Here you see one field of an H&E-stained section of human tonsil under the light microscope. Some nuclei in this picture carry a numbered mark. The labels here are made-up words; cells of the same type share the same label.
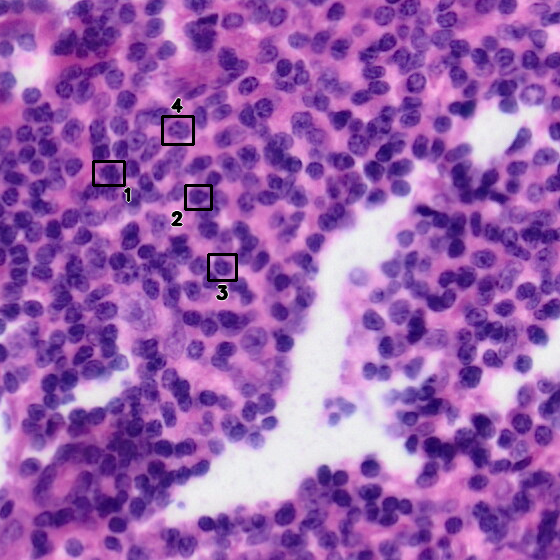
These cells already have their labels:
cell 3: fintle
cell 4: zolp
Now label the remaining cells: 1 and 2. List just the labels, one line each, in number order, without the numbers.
fintle
fintle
